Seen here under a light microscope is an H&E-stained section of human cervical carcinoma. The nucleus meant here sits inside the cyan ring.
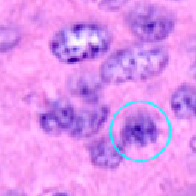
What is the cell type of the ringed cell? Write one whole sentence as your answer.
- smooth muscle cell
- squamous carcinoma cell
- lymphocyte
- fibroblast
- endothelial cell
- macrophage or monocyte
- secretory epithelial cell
In this preparation, the ringed cell is a squamous carcinoma cell.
